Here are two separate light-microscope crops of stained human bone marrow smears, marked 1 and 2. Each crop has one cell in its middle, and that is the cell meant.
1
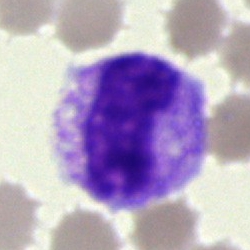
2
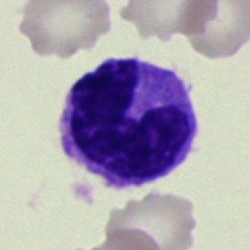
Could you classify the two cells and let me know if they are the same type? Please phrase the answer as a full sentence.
Yes, band neutrophils are the central cells in the two crops.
